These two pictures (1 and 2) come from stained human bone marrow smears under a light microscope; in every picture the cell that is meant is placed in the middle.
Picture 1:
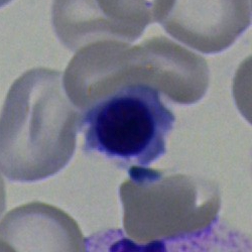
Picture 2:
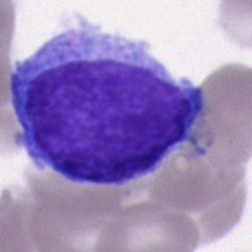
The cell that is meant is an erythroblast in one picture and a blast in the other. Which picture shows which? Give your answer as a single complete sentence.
It is picture 1 that shows an erythroblast, and picture 2 that shows a blast.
